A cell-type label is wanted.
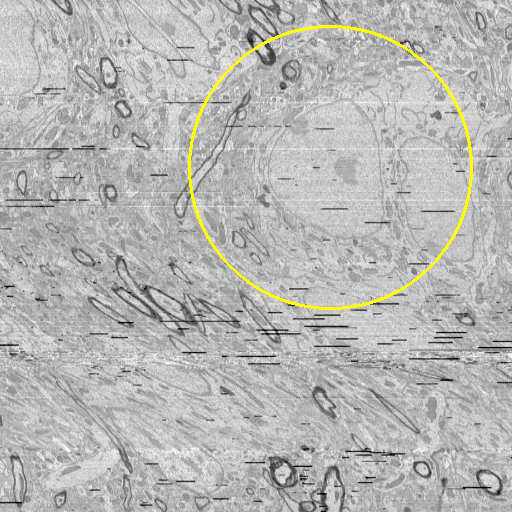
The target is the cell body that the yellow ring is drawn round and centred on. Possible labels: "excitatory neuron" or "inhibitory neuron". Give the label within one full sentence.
Of the labels offered, the cell in the middle of the yellow ring is an excitatory neuron.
